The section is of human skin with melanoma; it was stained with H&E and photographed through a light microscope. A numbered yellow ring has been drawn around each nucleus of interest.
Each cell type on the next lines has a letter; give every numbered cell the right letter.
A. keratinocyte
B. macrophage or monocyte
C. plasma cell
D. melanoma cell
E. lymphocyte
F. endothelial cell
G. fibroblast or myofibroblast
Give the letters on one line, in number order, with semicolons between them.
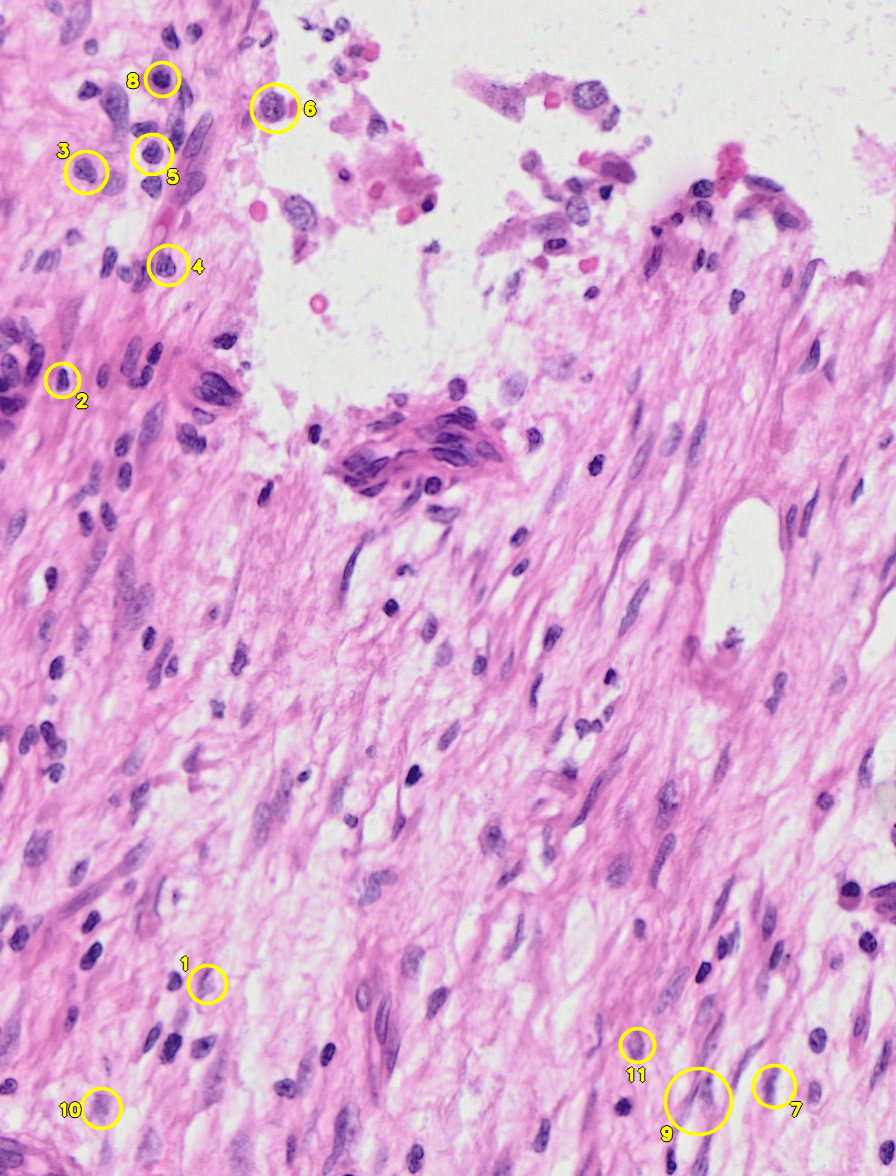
G; E; E; E; E; D; G; C; G; G; G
